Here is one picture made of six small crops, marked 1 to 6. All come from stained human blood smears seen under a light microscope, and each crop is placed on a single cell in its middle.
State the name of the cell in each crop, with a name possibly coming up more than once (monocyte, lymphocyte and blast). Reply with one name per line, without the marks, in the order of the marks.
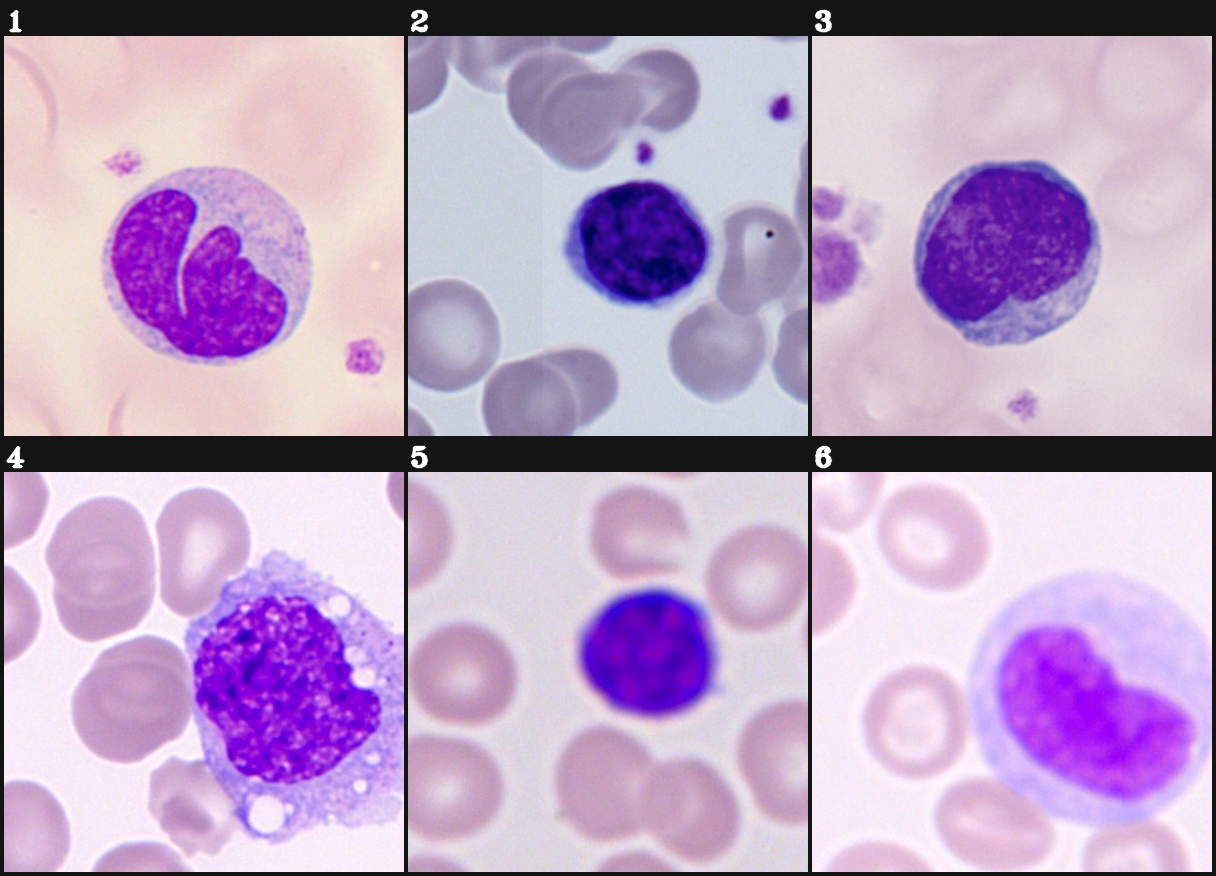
monocyte
lymphocyte
blast
monocyte
lymphocyte
monocyte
